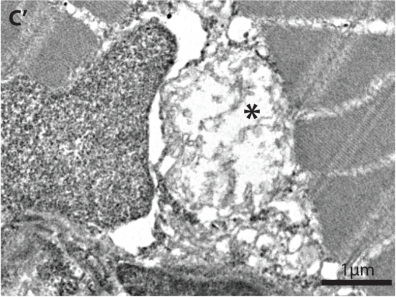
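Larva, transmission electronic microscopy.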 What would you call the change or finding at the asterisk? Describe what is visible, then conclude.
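Alteration of mitochondrial morphology. The marked organelle is large and rounded with a pale, watery interior. Only sparse, fragmented internal membranes remain inside it.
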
